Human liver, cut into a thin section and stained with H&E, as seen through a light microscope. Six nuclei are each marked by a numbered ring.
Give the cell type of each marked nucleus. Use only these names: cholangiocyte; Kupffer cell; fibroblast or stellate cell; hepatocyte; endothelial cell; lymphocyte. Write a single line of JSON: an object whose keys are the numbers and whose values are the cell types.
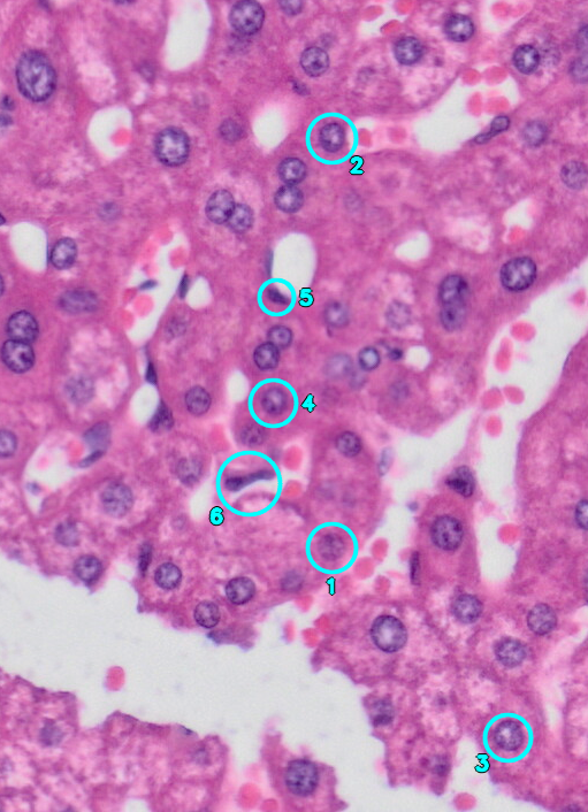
{"1": "hepatocyte", "2": "hepatocyte", "3": "hepatocyte", "4": "hepatocyte", "5": "fibroblast or stellate cell", "6": "Kupffer cell"}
